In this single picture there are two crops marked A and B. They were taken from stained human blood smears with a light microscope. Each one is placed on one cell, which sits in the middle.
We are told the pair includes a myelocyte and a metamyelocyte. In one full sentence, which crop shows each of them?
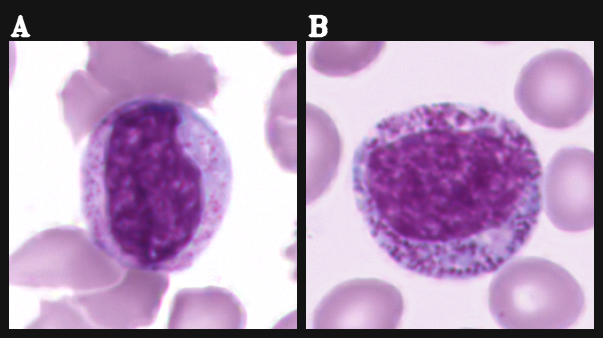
There is a metamyelocyte in crop A and a myelocyte in crop B.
